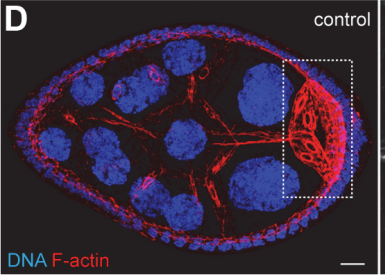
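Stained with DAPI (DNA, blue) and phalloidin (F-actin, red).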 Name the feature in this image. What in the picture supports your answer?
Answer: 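Egg chambers. An oval chamber of large germline cells surrounded by a thin cell layer. Large nuclei inside, small nuclei at the rim.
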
